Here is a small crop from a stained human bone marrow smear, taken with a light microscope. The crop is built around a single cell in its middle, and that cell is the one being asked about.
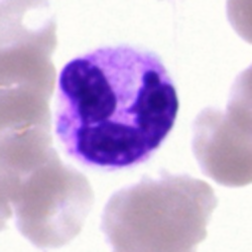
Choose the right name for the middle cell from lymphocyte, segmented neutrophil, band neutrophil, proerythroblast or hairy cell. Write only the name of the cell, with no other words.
segmented neutrophil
